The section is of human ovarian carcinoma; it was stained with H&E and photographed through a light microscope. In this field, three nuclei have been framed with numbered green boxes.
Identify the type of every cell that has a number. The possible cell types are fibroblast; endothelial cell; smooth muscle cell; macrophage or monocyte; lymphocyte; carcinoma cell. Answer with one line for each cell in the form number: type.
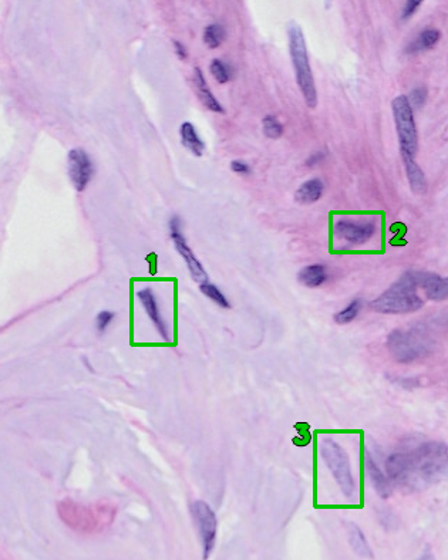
1: fibroblast
2: smooth muscle cell
3: fibroblast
